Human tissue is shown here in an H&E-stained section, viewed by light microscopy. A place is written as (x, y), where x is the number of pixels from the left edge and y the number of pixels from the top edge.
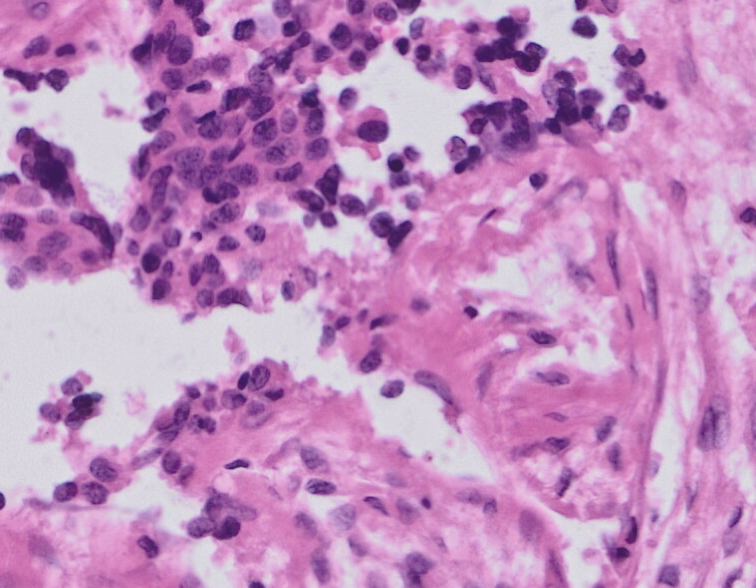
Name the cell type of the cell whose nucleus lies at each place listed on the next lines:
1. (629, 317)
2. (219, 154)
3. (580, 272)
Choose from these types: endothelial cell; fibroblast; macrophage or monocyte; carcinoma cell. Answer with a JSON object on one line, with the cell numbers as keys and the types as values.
{"1": "fibroblast", "2": "carcinoma cell", "3": "fibroblast"}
